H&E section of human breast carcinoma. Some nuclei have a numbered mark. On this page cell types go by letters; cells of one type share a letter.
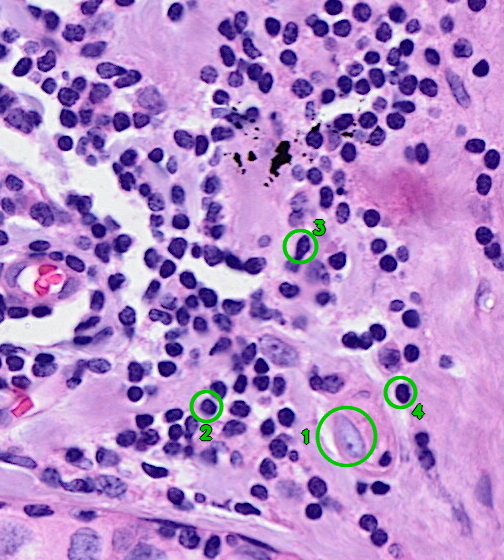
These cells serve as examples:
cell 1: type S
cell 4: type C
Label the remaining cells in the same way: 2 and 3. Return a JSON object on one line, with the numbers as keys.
{"2": "type C", "3": "type C"}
